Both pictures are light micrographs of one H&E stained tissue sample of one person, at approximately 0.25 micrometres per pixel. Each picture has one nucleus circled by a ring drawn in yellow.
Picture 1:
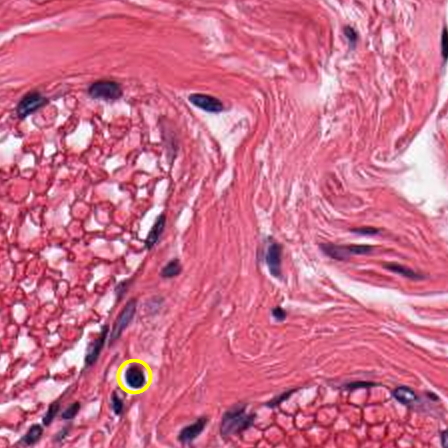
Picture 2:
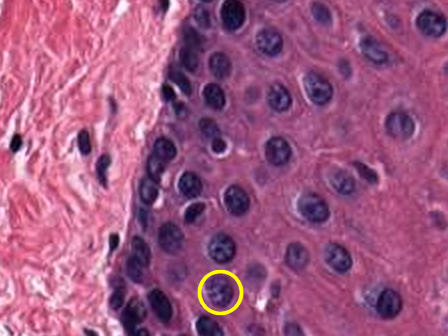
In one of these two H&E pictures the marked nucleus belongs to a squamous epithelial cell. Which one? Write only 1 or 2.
2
